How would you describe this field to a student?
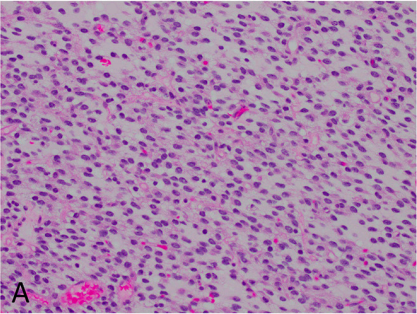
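This tumor is made of diffuse sheets of relatively small, crowded cells with round-to-oval, fairly uniform dark purple nuclei. The cytoplasm is scant and pale, so the nuclei seem to lie in a faint, cleared background. The cells run in a loosely streaming arrangement, and small vessels with red blood cells are scattered between them.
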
